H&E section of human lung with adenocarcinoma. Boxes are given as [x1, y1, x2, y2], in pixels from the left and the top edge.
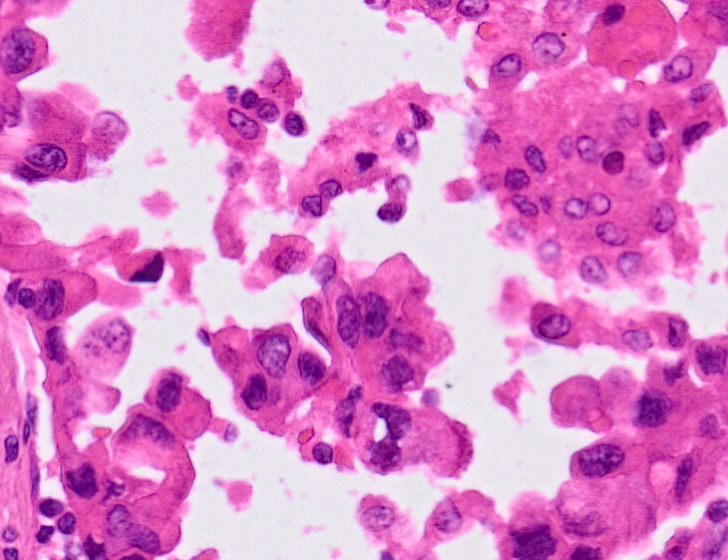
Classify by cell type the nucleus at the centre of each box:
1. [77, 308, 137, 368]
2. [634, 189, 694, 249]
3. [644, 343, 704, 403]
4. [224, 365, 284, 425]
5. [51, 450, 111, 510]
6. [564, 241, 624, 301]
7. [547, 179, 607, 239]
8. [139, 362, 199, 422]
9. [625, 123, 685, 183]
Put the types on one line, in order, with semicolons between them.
carcinoma cell; macrophage or monocyte; carcinoma cell; carcinoma cell; carcinoma cell; macrophage or monocyte; macrophage or monocyte; carcinoma cell; macrophage or monocyte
